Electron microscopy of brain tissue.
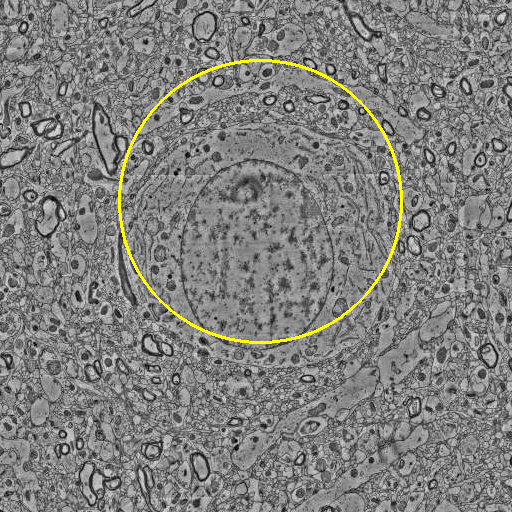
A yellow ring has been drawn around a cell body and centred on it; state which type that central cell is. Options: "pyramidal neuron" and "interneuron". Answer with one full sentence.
The cell at the middle of the yellow ring is an interneuron in this picture.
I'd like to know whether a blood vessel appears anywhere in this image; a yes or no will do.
No, none shows.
